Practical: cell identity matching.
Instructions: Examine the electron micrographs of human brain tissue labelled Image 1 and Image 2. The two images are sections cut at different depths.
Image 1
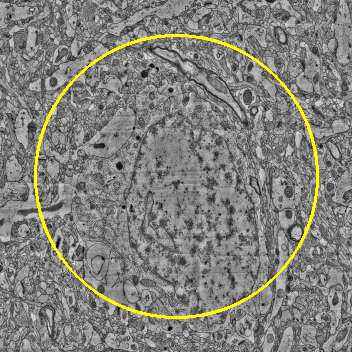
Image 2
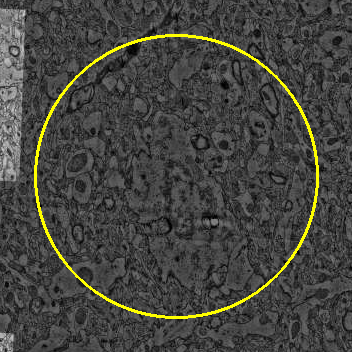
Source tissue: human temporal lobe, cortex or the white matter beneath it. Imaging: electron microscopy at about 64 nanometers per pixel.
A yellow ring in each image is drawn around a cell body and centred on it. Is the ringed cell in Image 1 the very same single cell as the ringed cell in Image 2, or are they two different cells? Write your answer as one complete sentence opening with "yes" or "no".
No, these are two different cells, each marked with a ring.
